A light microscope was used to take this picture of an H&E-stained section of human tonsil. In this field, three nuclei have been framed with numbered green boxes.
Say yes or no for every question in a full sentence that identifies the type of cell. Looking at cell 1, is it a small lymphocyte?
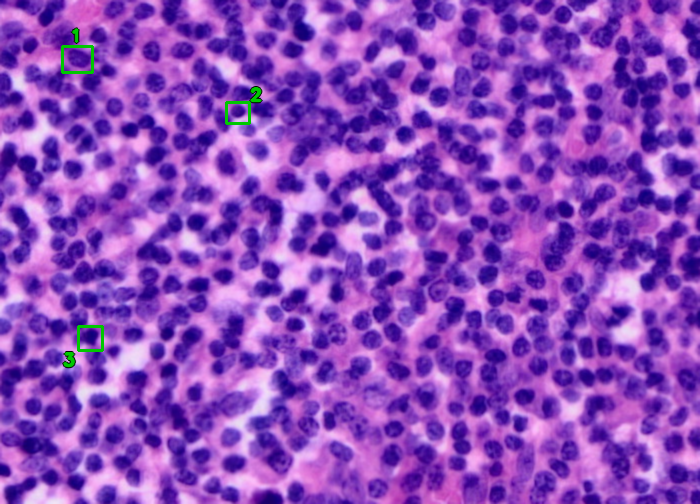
No, the cell labelled 1 is a plasma cell and not a small lymphocyte.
